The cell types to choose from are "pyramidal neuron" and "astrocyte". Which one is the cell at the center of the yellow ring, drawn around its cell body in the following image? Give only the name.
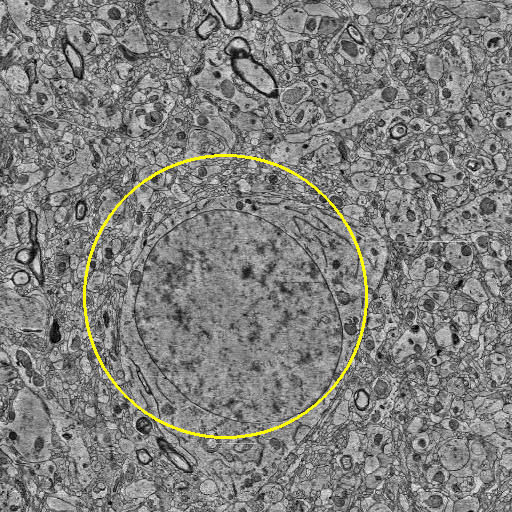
pyramidal neuron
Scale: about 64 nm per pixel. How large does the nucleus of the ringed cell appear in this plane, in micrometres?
Roughly 15 micrometres by 12 micrometres, in this plane.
